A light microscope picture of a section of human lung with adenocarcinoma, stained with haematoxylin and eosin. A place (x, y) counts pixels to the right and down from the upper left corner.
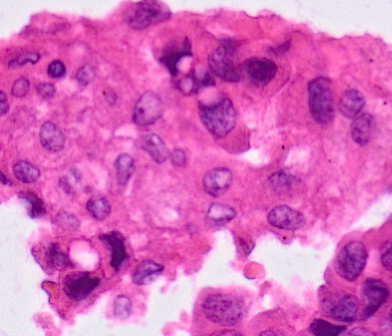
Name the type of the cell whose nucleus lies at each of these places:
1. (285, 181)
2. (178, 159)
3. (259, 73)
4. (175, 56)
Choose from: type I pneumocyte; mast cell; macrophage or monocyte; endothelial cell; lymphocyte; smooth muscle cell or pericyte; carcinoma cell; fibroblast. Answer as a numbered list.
1. macrophage or monocyte
2. macrophage or monocyte
3. carcinoma cell
4. carcinoma cell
